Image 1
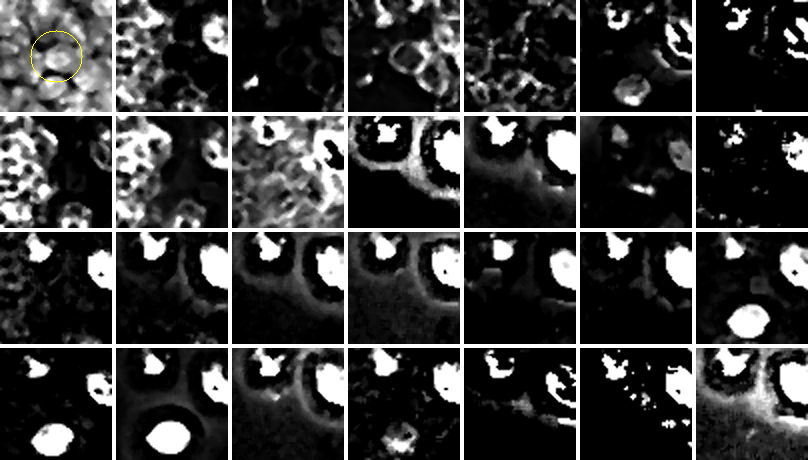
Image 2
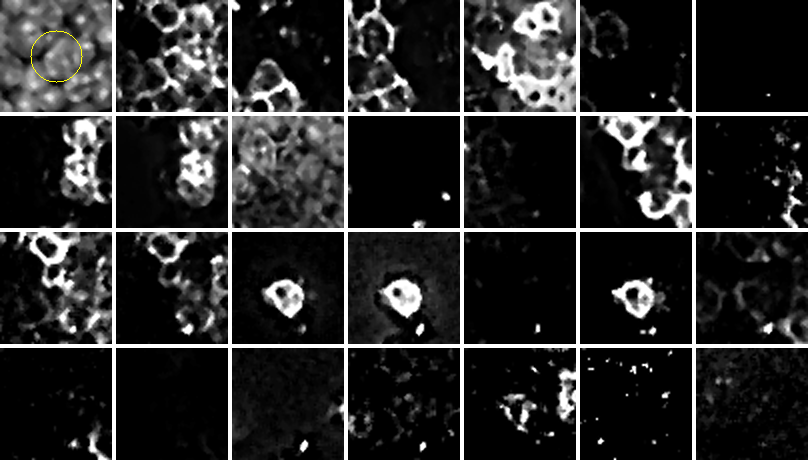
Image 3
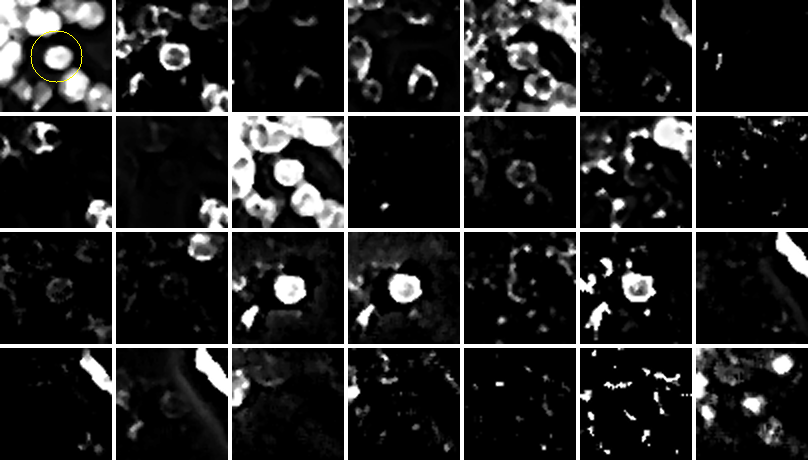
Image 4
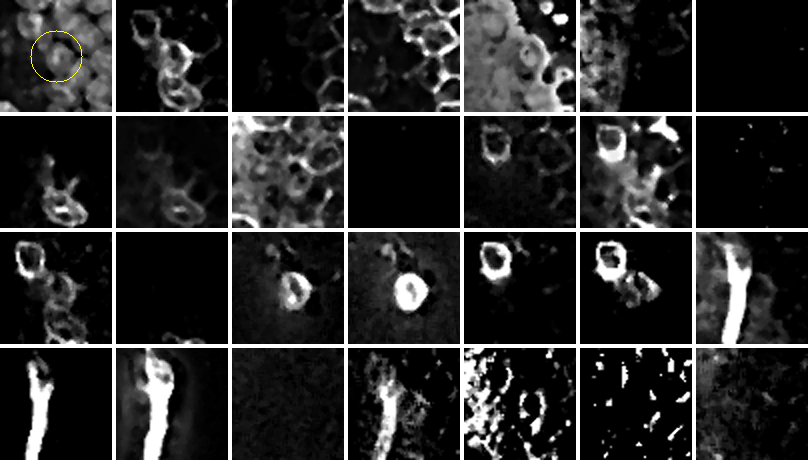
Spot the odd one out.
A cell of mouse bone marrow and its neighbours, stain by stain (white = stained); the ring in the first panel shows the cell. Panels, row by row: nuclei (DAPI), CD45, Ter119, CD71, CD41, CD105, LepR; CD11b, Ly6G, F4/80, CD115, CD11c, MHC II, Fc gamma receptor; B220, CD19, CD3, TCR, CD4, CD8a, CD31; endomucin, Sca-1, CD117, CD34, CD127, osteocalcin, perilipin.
Picture 1 (a monocyte among CD8 T cells).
